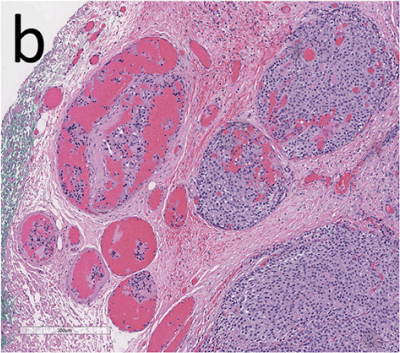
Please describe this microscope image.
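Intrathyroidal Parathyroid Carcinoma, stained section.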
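Nests of tumor cells lie in a pink fibrous stroma, some as large solid rounded nests of small cells with round dark nuclei. Other rounded spaces are filled with bright pink material in which smaller groups of tumor cells are suspended, the picture of intravascular tumor cells admixed with thrombus.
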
